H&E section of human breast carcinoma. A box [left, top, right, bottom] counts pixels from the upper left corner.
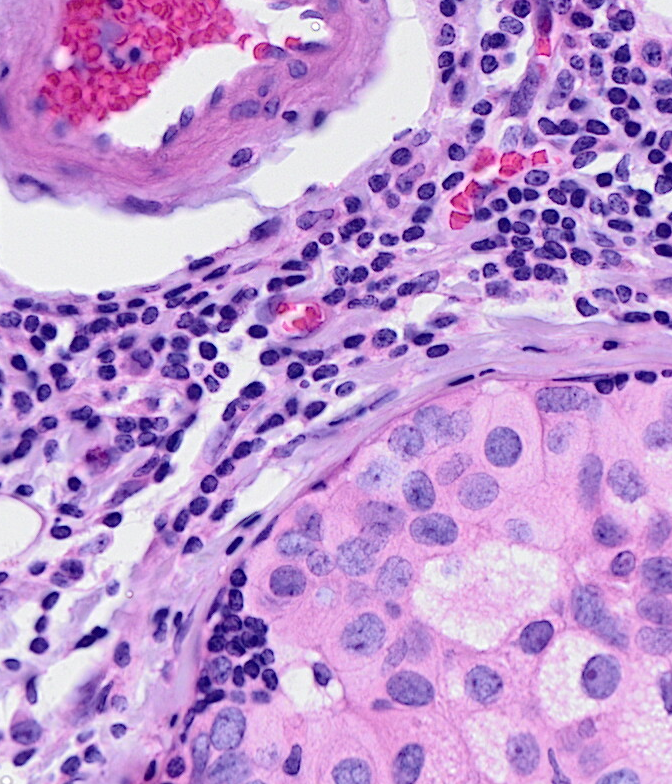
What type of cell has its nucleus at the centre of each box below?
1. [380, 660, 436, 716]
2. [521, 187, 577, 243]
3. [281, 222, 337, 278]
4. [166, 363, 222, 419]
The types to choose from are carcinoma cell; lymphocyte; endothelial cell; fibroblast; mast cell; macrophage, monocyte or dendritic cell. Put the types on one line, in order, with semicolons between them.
carcinoma cell; lymphocyte; lymphocyte; lymphocyte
